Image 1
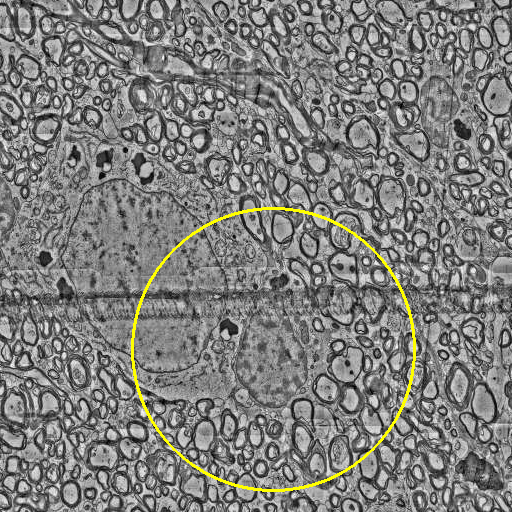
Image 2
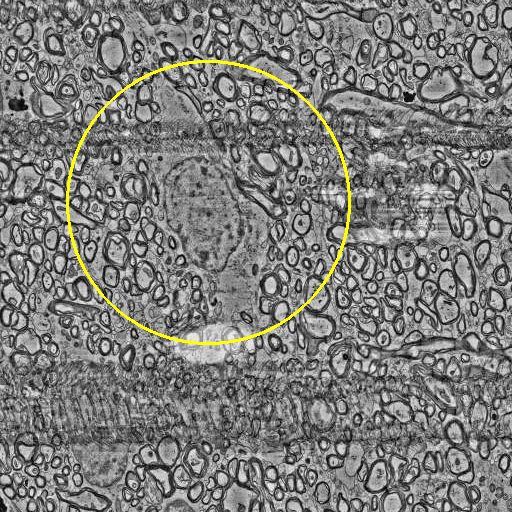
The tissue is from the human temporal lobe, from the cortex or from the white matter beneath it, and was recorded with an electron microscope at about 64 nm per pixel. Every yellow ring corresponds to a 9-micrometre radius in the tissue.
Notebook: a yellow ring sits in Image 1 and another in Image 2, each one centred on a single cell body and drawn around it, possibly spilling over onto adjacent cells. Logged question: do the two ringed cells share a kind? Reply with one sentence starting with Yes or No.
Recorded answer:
No, the centre cells inside the rings of Image 1 and Image 2 are of two kinds.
